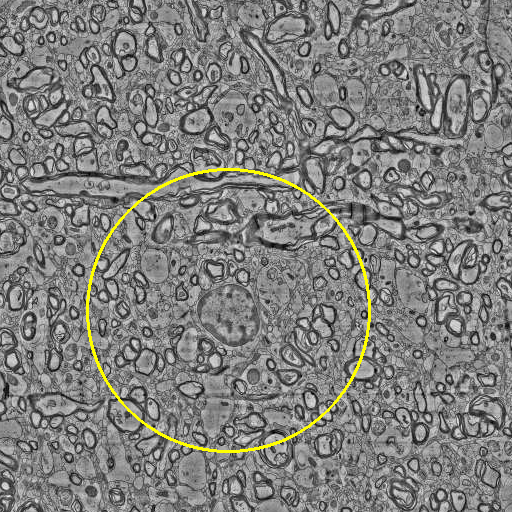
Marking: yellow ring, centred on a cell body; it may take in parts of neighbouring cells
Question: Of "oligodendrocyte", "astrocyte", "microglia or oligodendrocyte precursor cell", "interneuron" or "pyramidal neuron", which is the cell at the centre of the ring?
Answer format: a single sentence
The ring surrounds the body of a microglial cell or oligodendrocyte precursor cell.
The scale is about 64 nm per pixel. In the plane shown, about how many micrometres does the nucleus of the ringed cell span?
Approximately 4 micrometers across in this plane.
